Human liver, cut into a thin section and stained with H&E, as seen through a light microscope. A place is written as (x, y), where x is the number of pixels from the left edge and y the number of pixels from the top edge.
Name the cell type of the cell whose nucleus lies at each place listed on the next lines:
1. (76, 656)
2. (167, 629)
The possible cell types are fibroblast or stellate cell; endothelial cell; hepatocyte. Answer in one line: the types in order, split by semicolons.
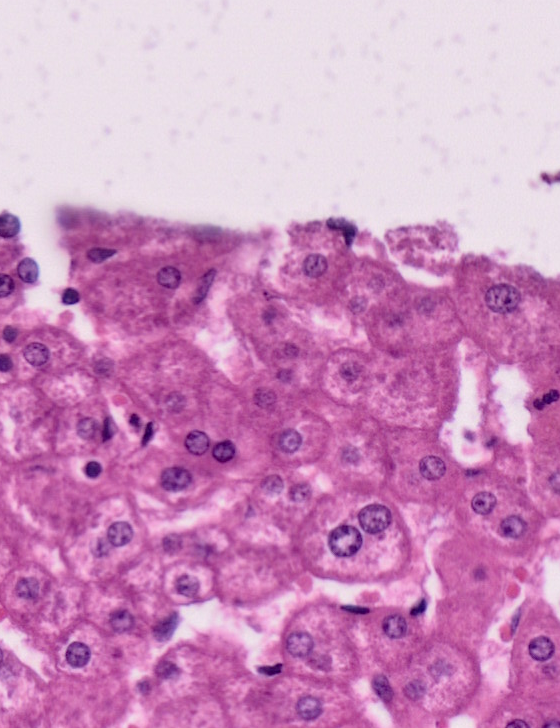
hepatocyte; endothelial cell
